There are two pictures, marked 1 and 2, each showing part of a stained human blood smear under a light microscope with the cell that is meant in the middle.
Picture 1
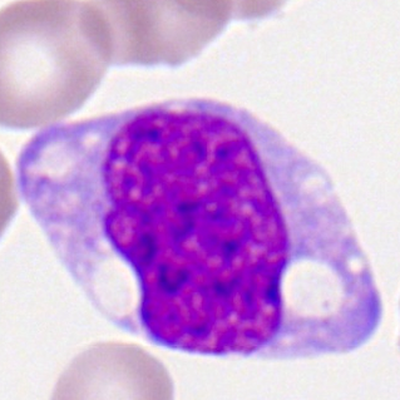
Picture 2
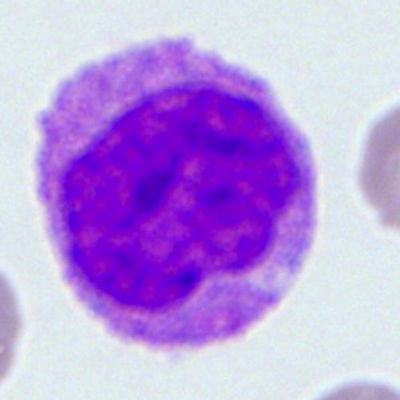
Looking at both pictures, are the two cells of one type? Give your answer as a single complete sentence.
Yes, both cells are monocytes.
